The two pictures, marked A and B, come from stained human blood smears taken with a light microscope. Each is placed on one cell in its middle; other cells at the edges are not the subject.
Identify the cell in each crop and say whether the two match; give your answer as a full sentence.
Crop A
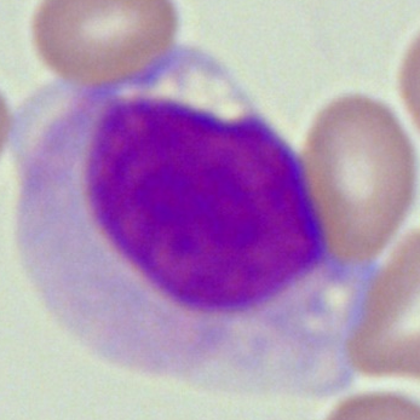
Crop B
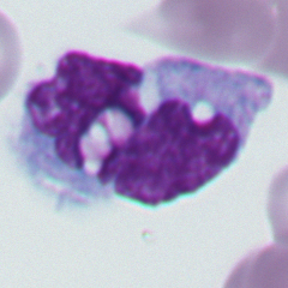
Yes, the two crops both show monocytes.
